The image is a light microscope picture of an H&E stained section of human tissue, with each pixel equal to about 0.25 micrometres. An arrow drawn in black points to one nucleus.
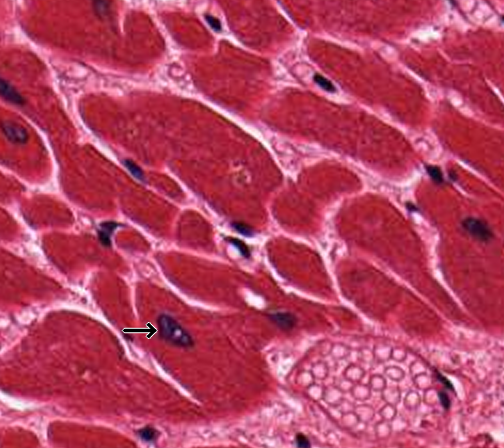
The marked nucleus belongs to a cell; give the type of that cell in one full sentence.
Located in a cardiomyocyte is the marked nucleus.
